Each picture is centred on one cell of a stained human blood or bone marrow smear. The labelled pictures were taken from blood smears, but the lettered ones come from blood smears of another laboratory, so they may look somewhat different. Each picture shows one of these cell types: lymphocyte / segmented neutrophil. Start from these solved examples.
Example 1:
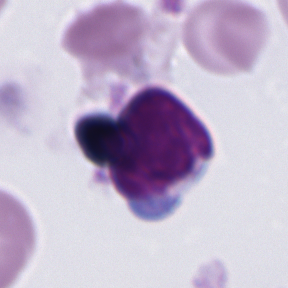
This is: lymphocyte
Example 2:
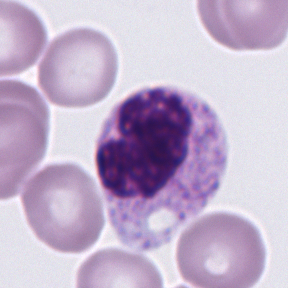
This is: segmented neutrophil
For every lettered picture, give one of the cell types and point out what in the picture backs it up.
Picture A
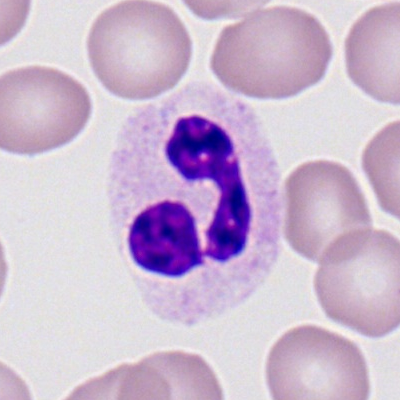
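segmented neutrophil. Reason: The cytoplasm is plentiful and pale pink-lilac.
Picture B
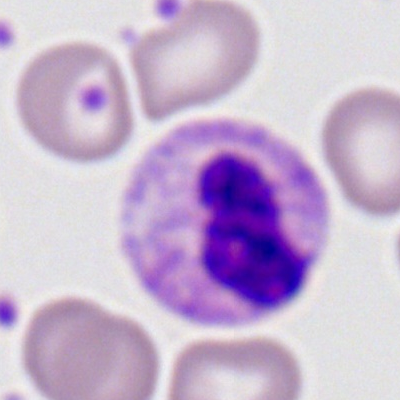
segmented neutrophil. Reason: The cytoplasm is abundant, taking up more than half of the cell.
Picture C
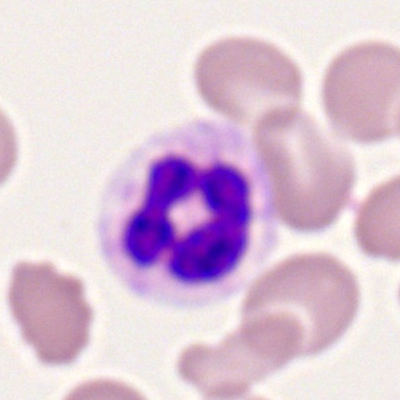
segmented neutrophil. Reason: The cytoplasm is plentiful and pale pinkish-lilac.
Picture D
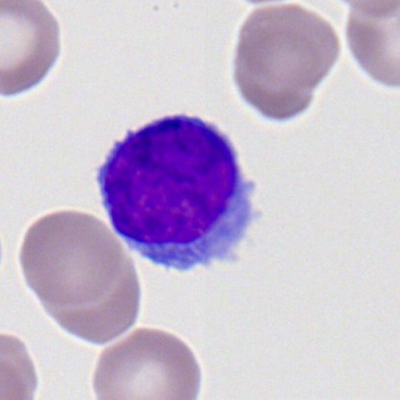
lymphocyte. Reason: A scant rim of pale blue cytoplasm shows mainly at the lower right of the nucleus.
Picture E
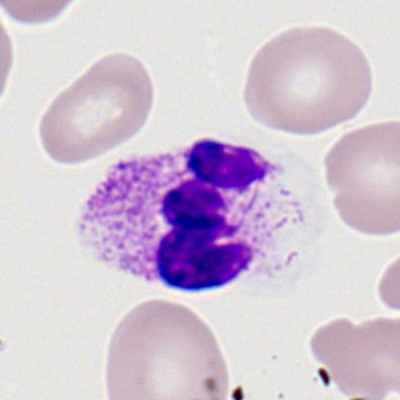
segmented neutrophil. Reason: The nucleus is split into three separate lobes.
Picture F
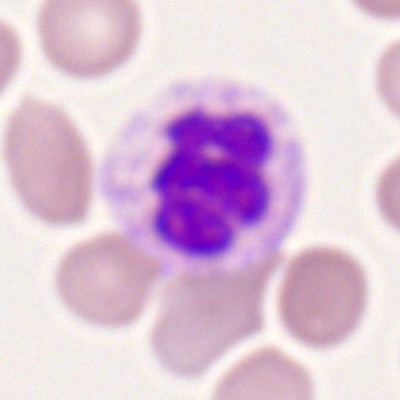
segmented neutrophil. Reason: The nucleus is divided into several lobes.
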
